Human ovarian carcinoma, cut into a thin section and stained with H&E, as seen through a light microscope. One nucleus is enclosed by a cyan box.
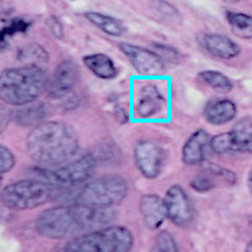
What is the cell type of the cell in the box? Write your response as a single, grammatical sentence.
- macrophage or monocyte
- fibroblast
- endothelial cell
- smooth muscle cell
The correct response here is that the cell in the box is a fibroblast.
